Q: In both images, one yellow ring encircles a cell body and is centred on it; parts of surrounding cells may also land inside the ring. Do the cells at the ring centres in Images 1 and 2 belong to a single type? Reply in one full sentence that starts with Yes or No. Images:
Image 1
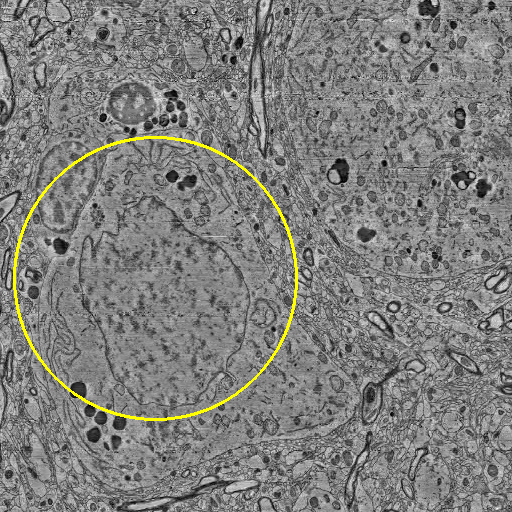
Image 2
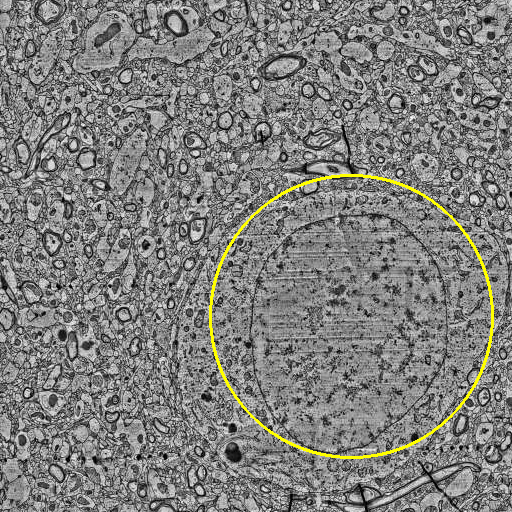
Yes, the cells at the ring centres in Images 1 and 2 are of a single type.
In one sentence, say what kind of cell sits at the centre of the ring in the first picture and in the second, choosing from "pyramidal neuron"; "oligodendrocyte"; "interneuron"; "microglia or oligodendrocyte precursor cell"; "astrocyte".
The ring centre holds a pyramidal neuron in each of the two pictures.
